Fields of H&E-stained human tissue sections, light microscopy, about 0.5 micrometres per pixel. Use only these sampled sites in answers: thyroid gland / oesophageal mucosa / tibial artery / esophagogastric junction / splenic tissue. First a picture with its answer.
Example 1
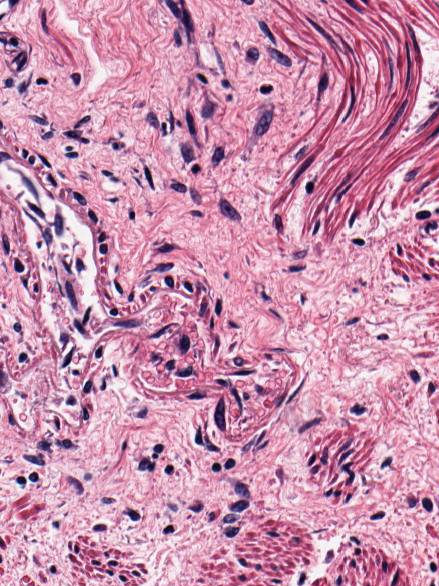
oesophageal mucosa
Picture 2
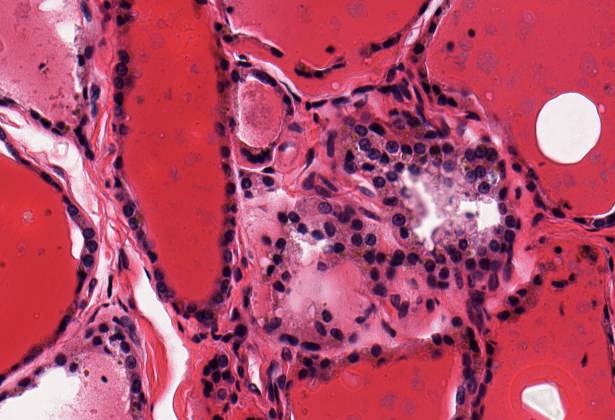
thyroid gland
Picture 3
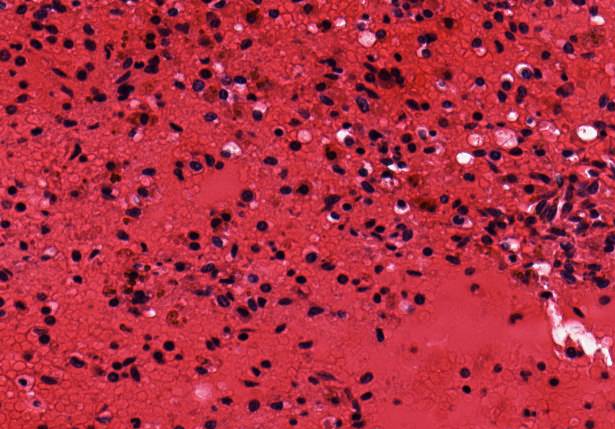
splenic tissue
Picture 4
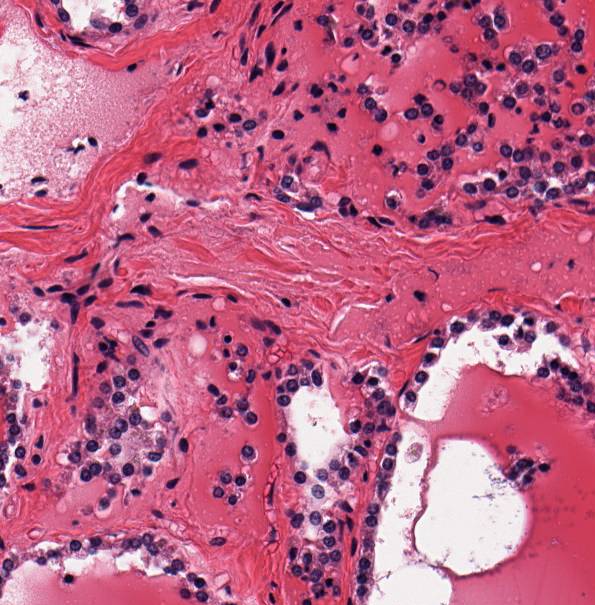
thyroid gland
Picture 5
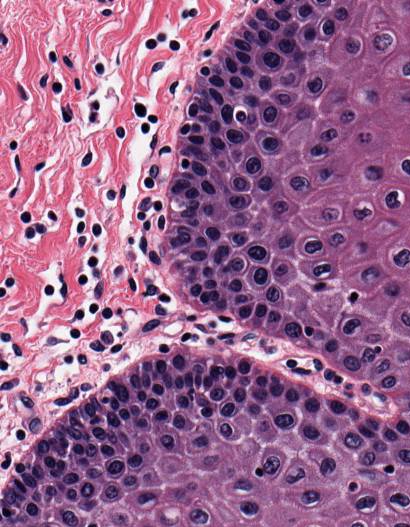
oesophageal mucosa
